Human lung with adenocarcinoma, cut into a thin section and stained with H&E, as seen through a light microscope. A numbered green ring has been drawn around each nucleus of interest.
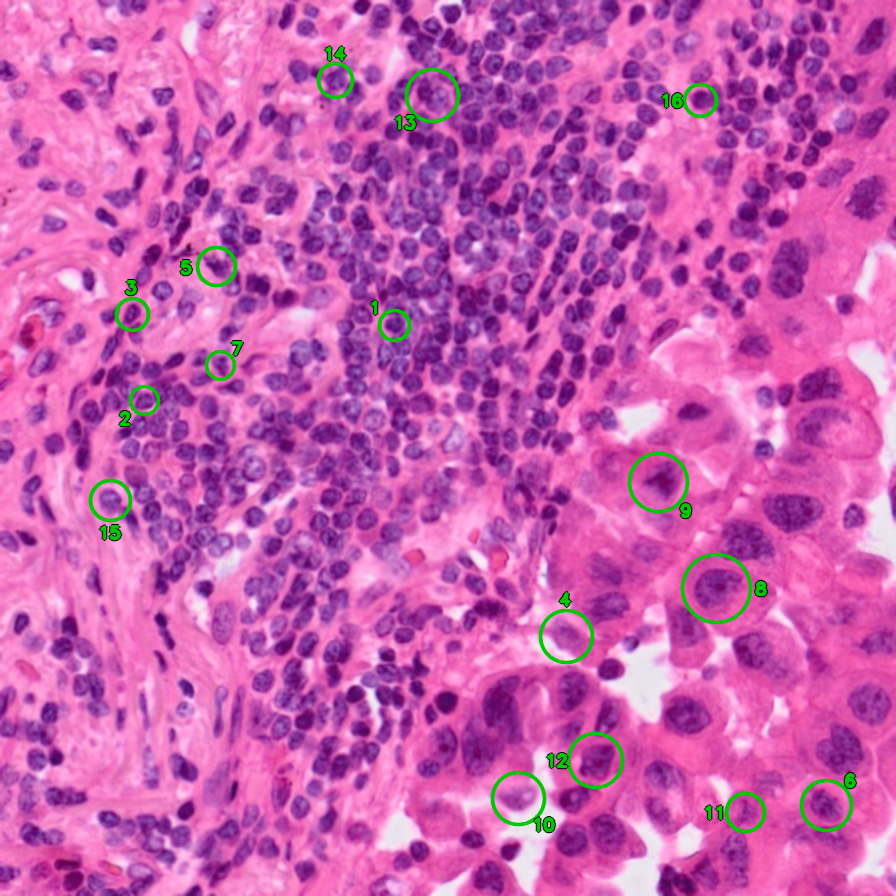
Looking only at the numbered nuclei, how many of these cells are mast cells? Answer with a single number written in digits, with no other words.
0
